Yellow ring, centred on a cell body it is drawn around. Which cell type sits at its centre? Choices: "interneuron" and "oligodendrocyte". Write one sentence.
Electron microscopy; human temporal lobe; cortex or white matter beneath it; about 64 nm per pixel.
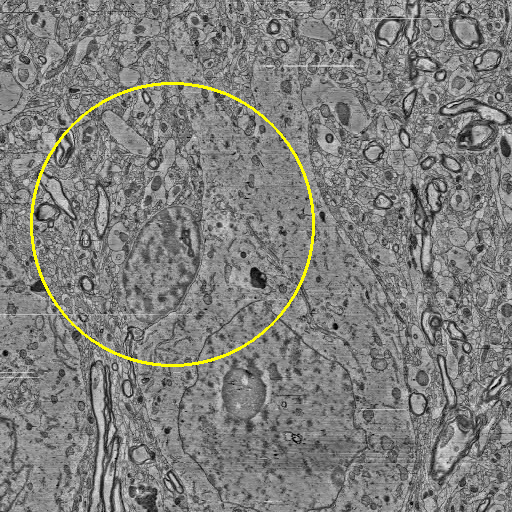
At the centre of the ring sits an oligodendrocyte.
